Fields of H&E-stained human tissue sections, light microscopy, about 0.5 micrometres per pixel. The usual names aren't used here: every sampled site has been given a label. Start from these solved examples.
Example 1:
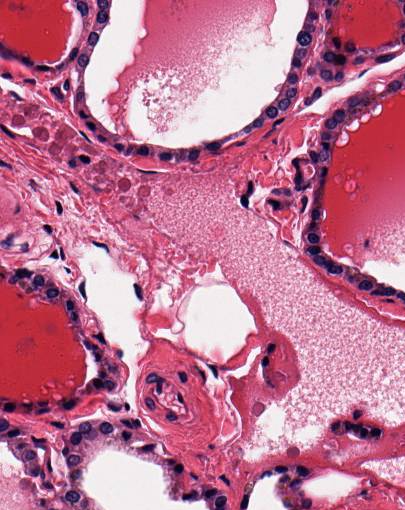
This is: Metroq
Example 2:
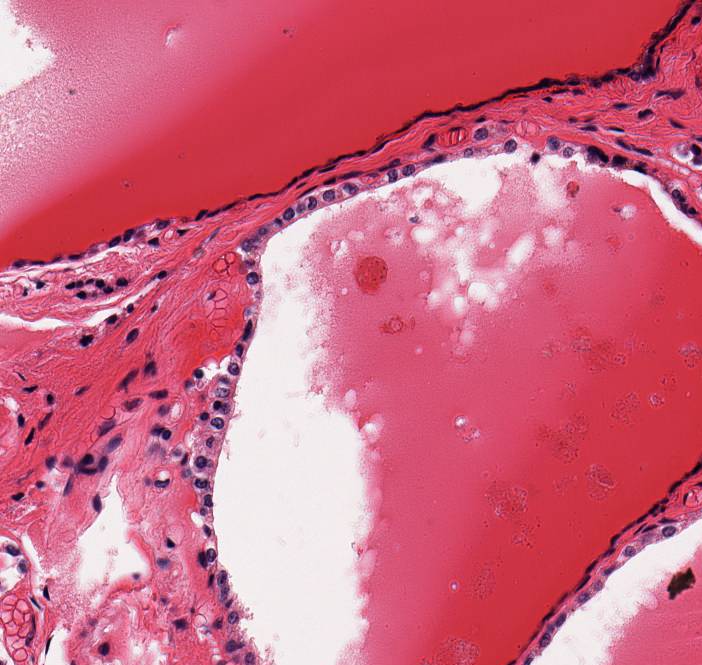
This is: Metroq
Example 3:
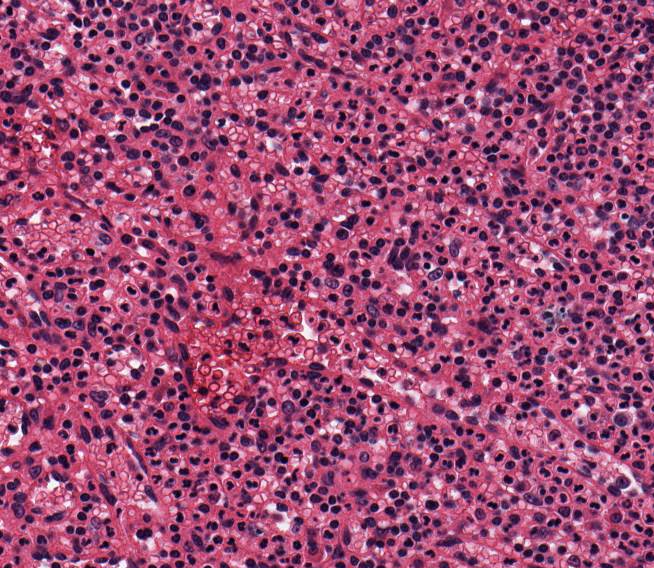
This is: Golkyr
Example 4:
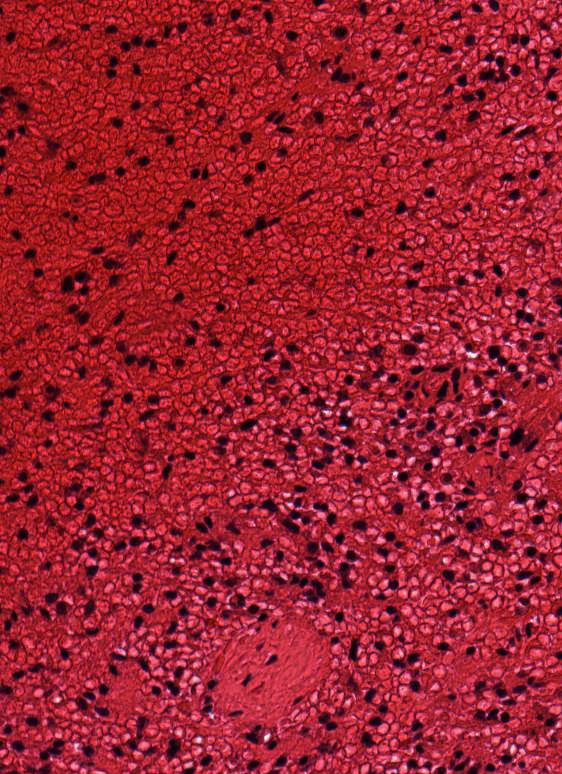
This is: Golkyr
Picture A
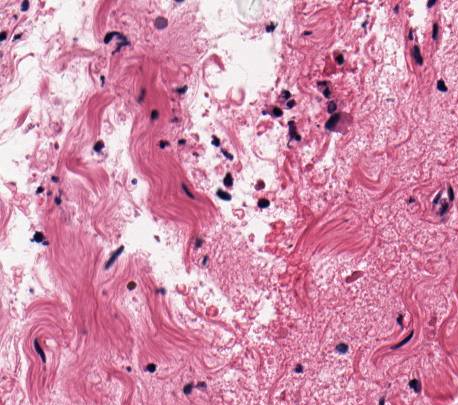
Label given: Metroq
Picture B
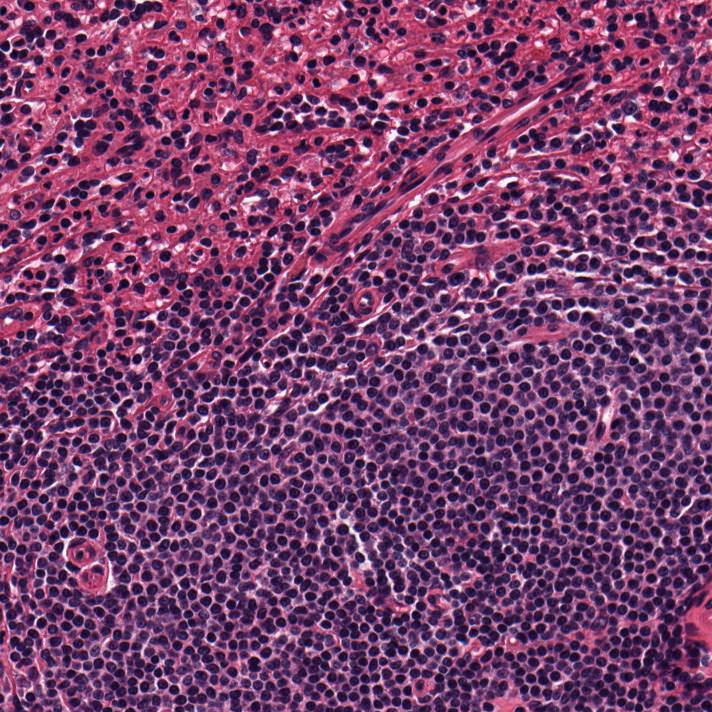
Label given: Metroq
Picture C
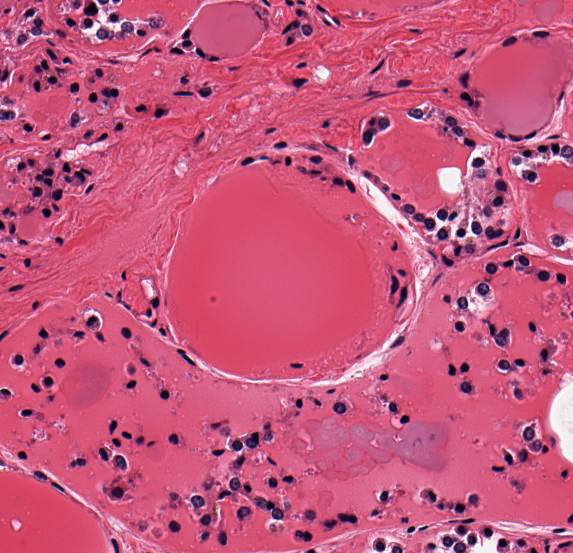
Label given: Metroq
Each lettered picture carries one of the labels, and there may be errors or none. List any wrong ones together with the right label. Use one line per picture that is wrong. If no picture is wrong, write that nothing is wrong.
B: change Metroq to Golkyr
